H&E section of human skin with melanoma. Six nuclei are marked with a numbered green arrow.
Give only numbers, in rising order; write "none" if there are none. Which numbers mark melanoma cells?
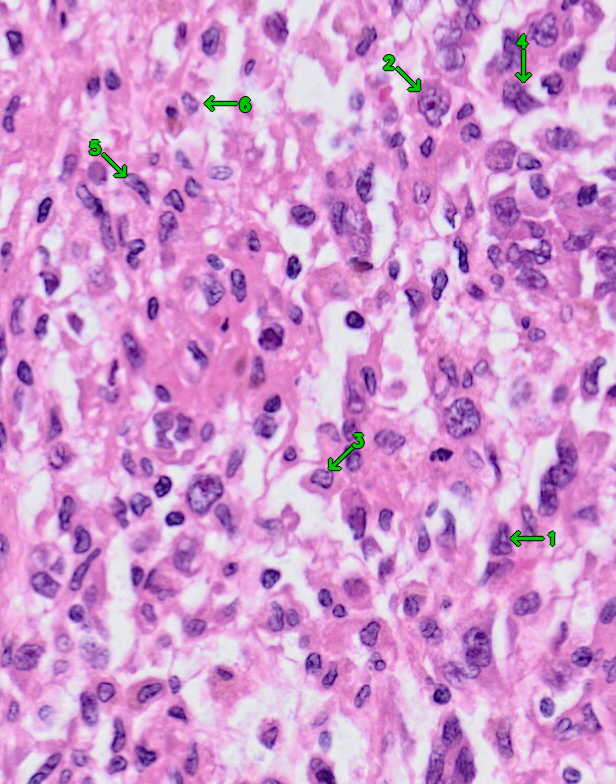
1, 2, 4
